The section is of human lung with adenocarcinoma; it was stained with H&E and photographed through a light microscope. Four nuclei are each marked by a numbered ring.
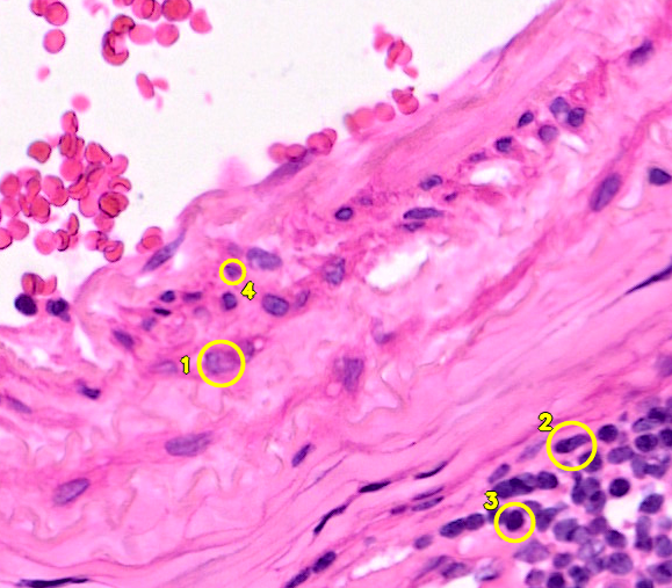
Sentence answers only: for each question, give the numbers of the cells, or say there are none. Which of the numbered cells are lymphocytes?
Identified as lymphocytes are the cells numbered 2 and 3.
